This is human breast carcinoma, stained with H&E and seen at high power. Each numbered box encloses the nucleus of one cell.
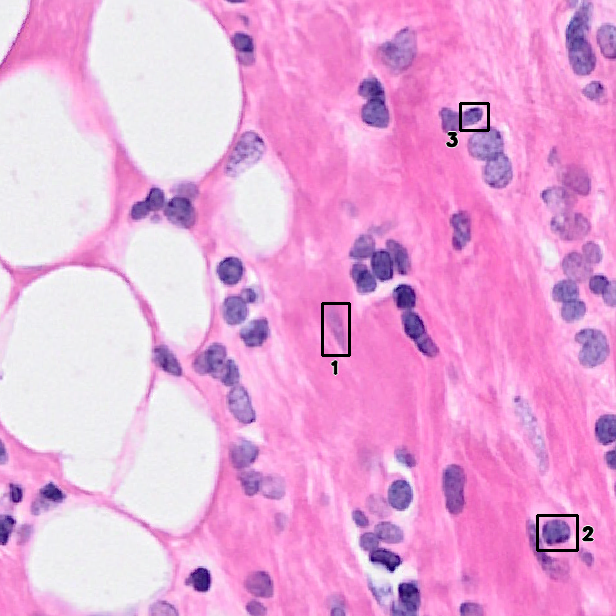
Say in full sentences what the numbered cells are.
Cell 1 is a fibroblast, cell 2 is a lymphocyte and cell 3 is a lymphocyte.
